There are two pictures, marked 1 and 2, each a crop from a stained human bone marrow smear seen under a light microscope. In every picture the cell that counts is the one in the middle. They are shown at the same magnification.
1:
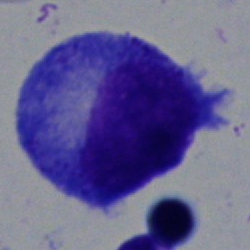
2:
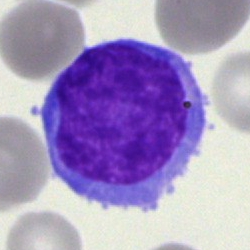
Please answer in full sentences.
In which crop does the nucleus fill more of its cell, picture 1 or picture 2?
It is the cell in picture 2 that is filled more by its nucleus.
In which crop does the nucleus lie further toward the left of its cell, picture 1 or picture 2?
The nucleus in picture 2 lies further toward the left of its cell.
